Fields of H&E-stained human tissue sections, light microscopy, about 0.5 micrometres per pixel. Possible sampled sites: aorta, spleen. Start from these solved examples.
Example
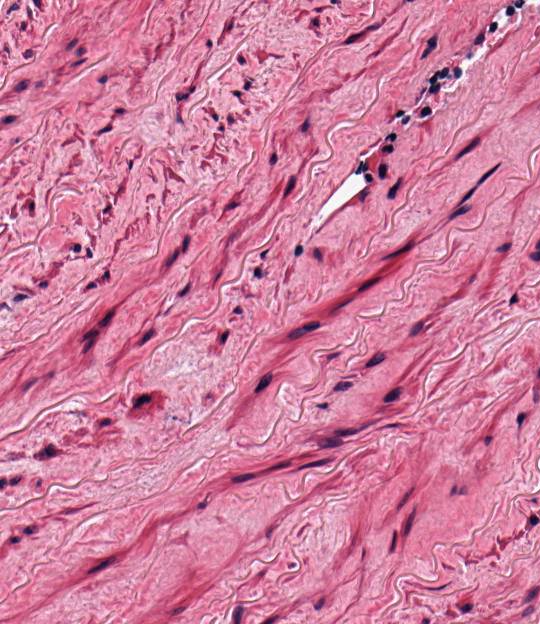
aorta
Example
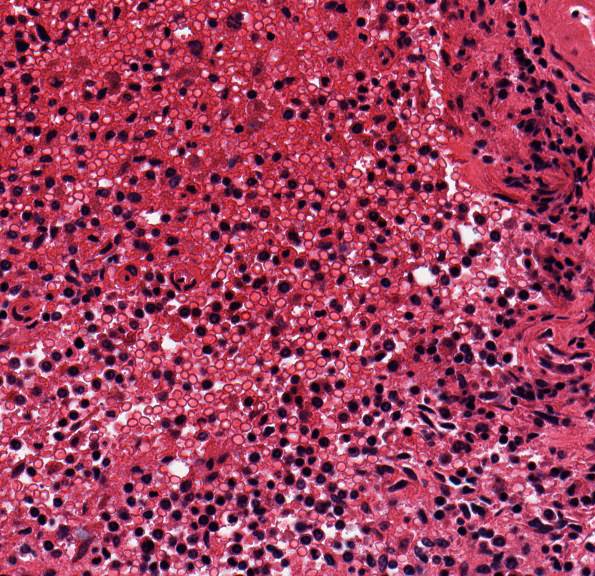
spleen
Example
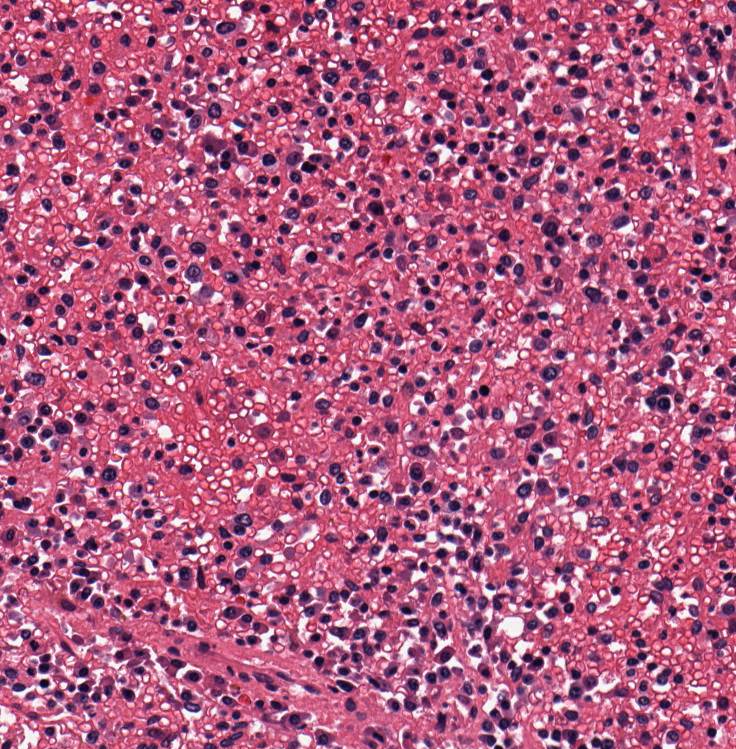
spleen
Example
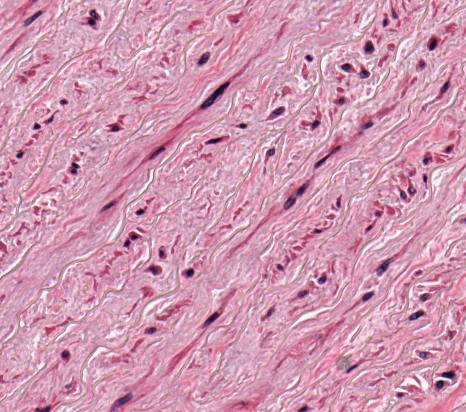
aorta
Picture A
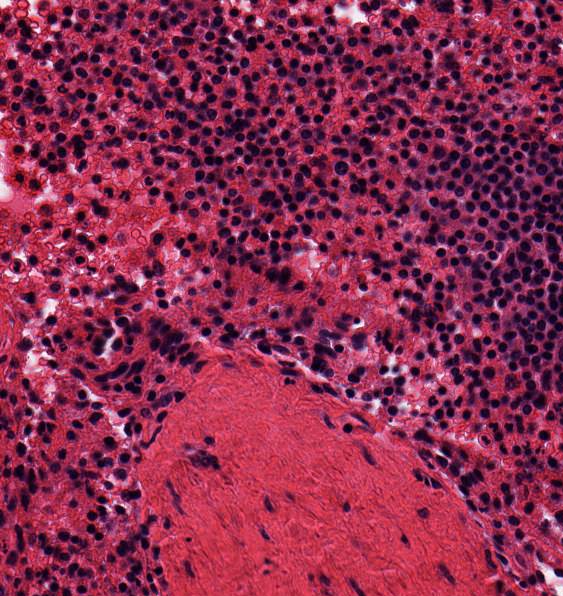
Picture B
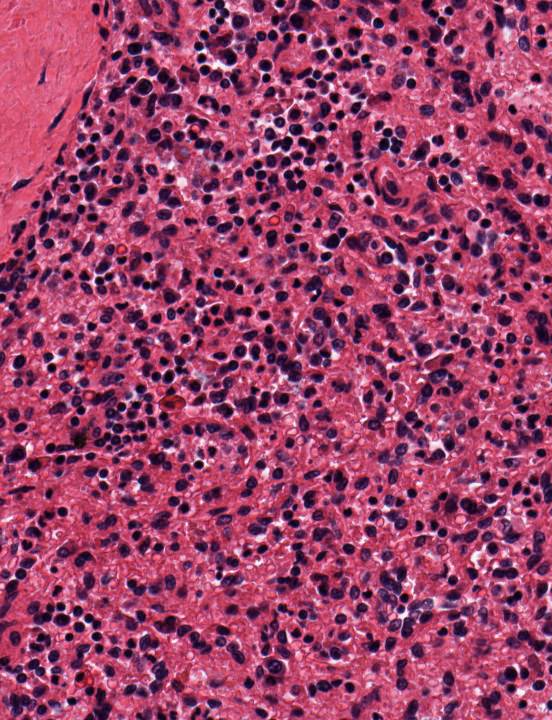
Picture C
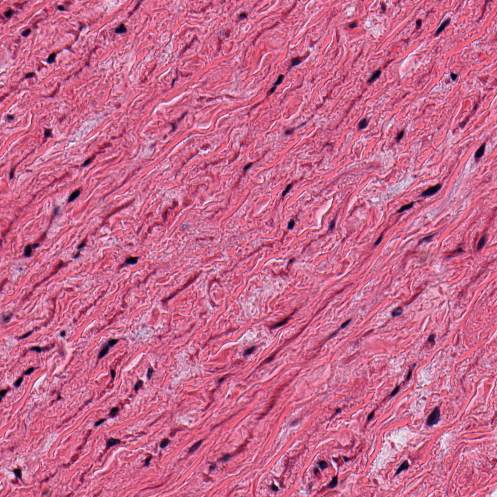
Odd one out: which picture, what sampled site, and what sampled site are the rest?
Exception: C, showing aorta. Remaining pictures: spleen.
